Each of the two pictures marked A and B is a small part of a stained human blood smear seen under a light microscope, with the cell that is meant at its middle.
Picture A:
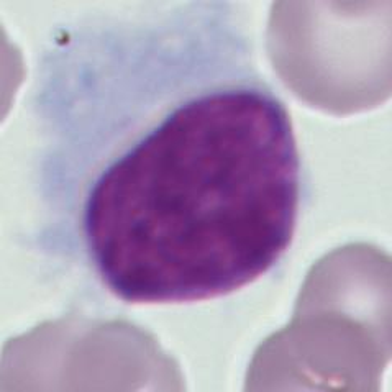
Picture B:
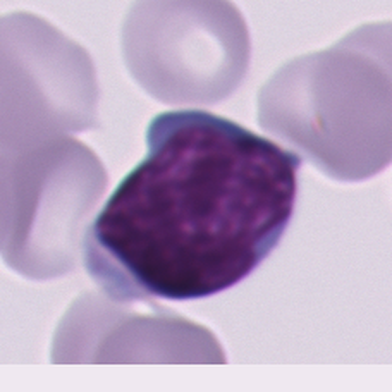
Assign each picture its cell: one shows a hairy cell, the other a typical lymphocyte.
A: hairy cell
B: typical lymphocyte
